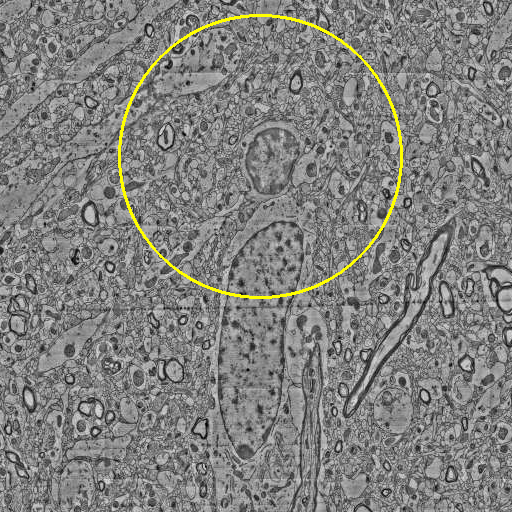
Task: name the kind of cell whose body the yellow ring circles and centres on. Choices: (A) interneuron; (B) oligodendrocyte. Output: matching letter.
B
